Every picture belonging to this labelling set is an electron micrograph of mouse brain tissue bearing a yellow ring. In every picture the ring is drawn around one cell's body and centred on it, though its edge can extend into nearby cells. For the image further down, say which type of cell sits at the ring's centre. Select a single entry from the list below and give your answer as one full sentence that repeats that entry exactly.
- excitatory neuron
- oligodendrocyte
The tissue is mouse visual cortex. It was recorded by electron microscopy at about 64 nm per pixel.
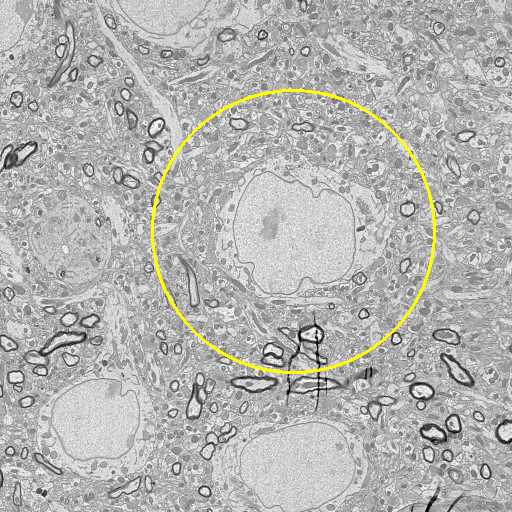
In the picture, an excitatory neuron is the cell at the centre of the yellow ring.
